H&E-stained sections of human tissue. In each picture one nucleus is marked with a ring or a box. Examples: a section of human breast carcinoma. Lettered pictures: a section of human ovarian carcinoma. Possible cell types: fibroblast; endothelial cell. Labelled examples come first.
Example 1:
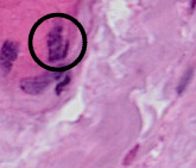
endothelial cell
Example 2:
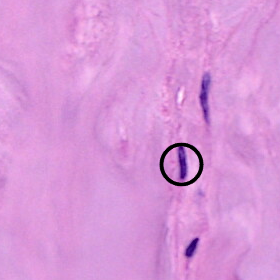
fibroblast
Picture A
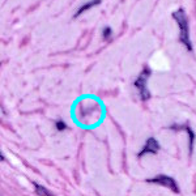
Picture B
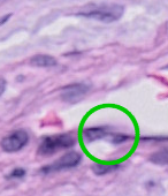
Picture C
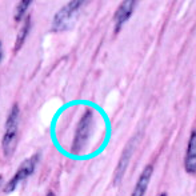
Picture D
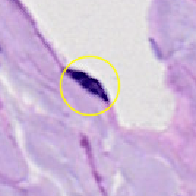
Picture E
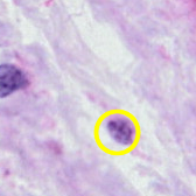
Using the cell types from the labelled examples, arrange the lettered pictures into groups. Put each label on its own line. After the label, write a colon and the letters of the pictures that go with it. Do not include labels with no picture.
fibroblast: A, C, E
endothelial cell: B, D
